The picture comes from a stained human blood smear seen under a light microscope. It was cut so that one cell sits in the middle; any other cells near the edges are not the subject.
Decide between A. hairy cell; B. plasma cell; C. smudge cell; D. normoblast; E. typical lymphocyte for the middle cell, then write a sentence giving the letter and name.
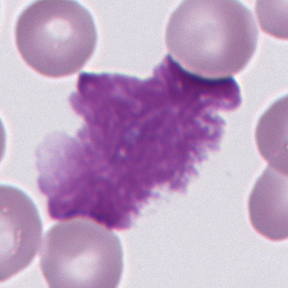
Option C gives the correct identity of the central cell, namely a smudge cell.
